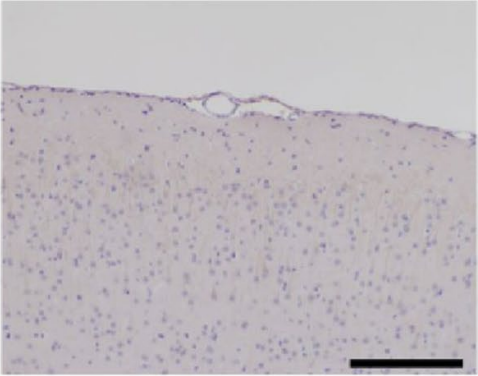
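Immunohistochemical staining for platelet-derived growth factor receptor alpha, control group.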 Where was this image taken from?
Brain surface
